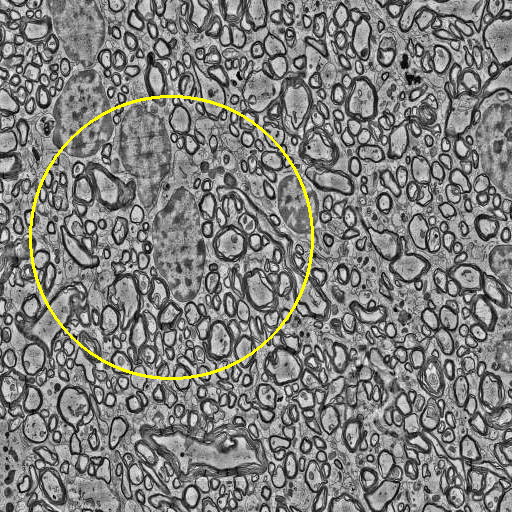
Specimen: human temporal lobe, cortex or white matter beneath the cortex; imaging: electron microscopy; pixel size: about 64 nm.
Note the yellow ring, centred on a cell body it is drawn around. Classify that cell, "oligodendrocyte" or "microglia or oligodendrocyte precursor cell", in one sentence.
The cell the ring is centred on is a microglial cell or oligodendrocyte precursor cell.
